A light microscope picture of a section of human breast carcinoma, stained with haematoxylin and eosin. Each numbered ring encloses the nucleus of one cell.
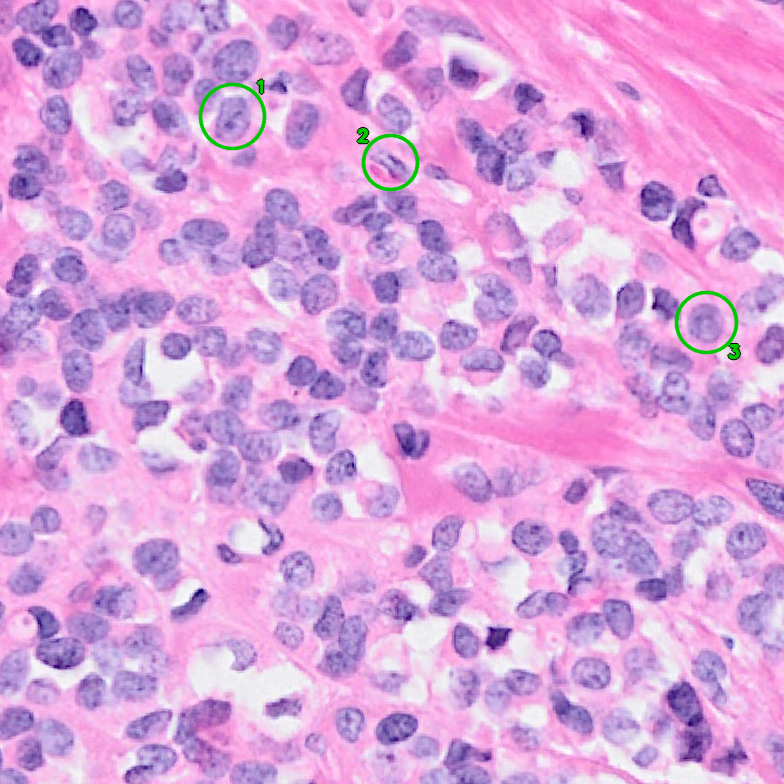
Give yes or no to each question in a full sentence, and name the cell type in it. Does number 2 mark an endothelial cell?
Yes, that is right: the cell labelled 2 is an endothelial cell.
